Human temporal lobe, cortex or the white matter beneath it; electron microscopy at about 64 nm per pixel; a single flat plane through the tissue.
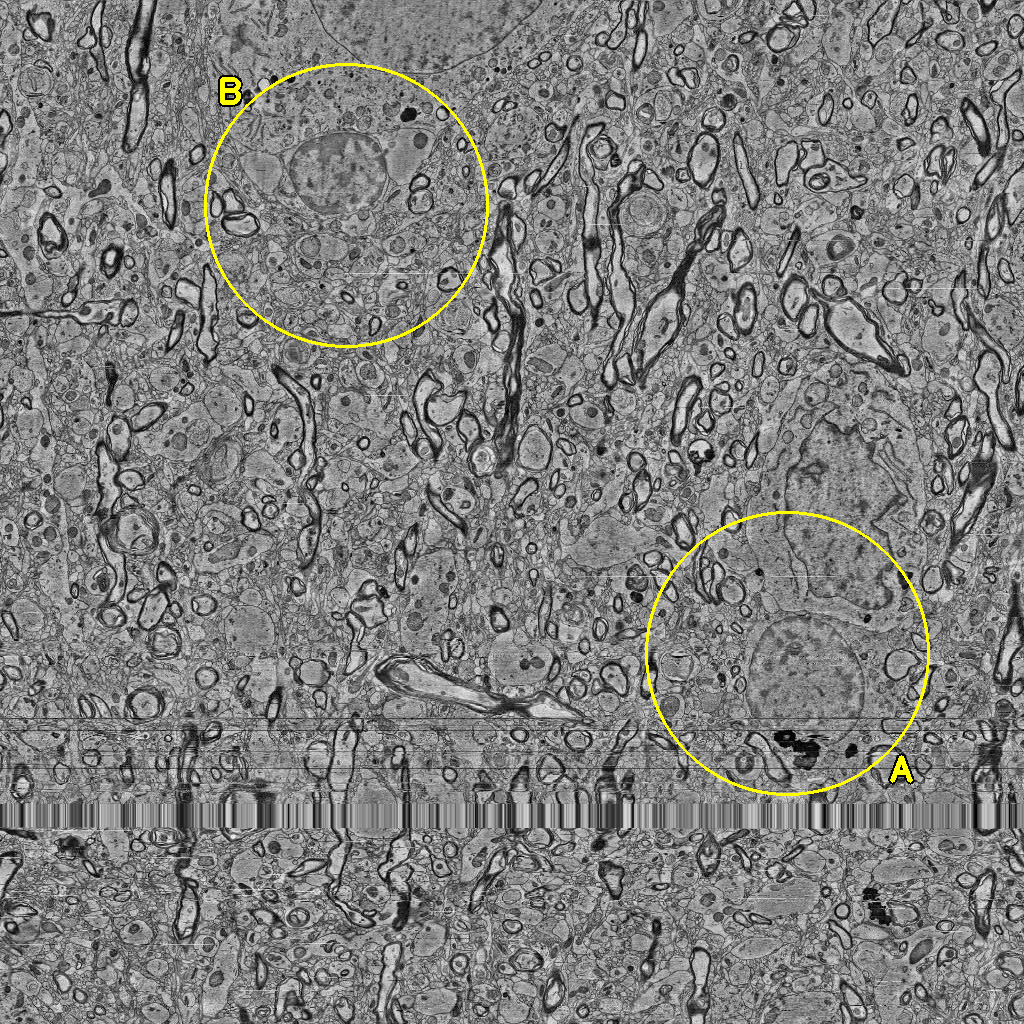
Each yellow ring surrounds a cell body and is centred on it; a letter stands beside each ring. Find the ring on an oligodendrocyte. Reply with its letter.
A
